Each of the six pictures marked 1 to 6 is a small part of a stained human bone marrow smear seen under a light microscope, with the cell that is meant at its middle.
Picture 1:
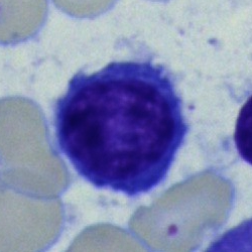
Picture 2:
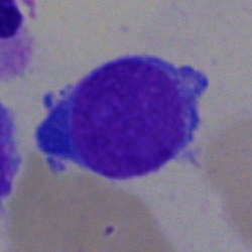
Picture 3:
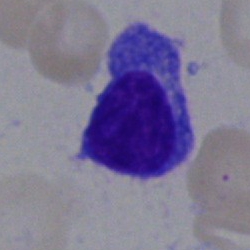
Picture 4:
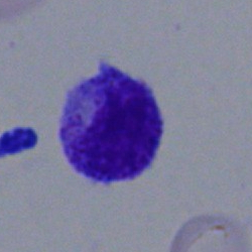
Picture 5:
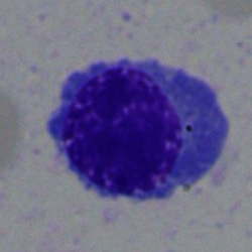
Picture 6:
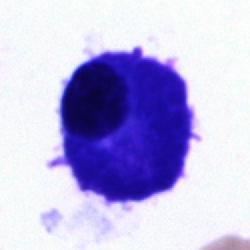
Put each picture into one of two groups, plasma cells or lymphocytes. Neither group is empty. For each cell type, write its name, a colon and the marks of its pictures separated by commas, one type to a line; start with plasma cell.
plasma cell: 3, 5, 6
lymphocyte: 1, 2, 4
